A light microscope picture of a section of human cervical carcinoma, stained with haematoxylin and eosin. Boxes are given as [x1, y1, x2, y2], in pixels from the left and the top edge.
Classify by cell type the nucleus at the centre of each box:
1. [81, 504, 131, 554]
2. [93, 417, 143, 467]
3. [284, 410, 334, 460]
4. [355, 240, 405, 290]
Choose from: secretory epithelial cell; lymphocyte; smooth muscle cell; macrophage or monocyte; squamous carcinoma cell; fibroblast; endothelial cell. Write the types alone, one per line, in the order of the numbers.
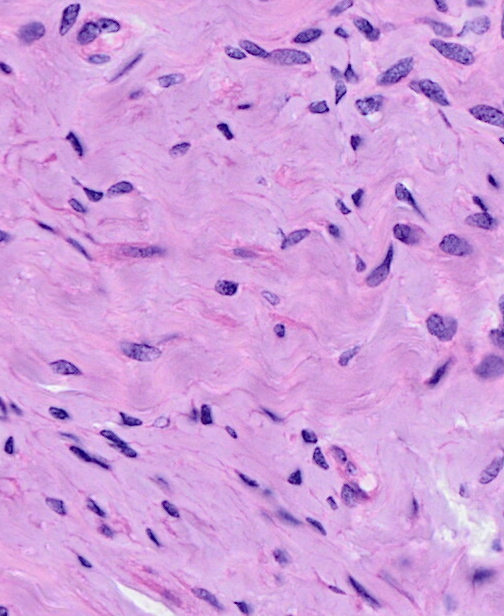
smooth muscle cell
fibroblast
fibroblast
fibroblast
